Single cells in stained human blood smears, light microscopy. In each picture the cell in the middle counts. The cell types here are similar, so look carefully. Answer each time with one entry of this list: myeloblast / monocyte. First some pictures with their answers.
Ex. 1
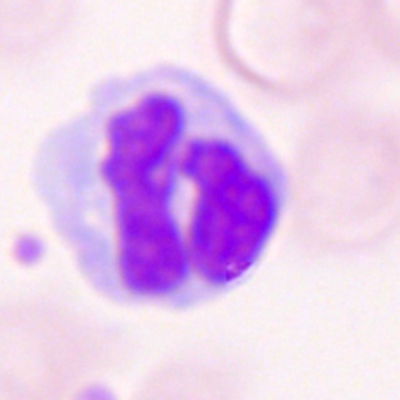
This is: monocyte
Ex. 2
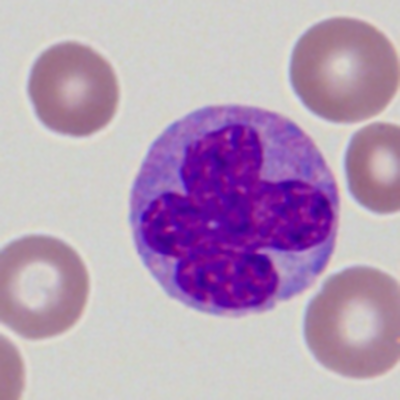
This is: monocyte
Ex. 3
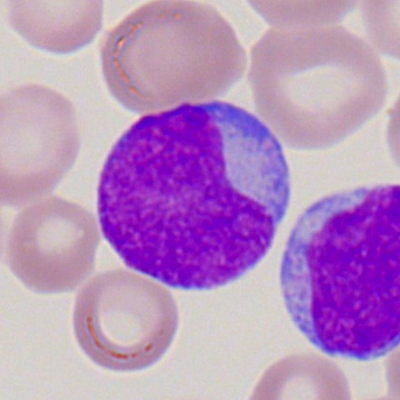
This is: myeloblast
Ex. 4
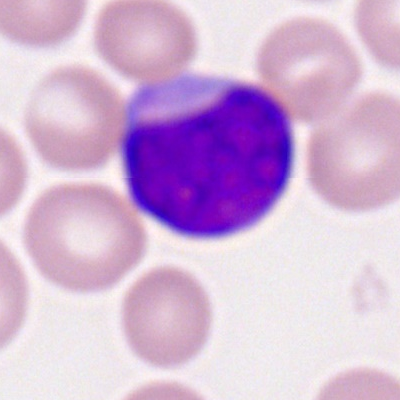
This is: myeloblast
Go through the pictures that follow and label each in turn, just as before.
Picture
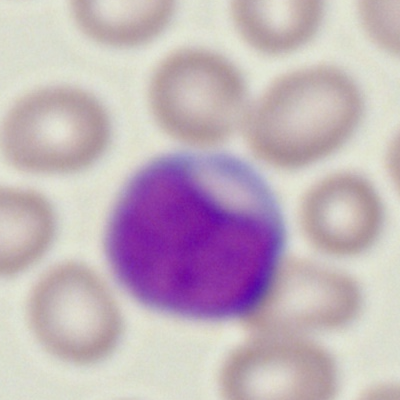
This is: myeloblast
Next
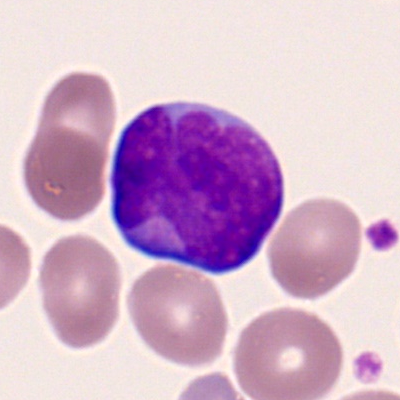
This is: myeloblast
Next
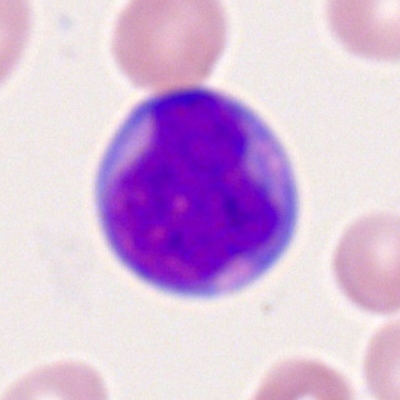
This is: myeloblast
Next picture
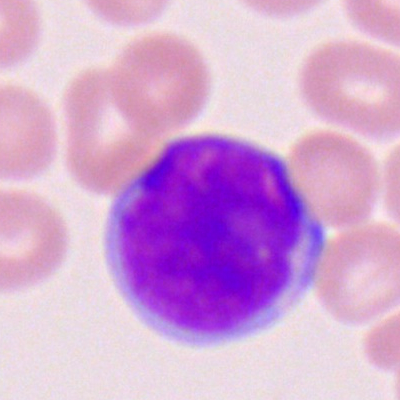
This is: myeloblast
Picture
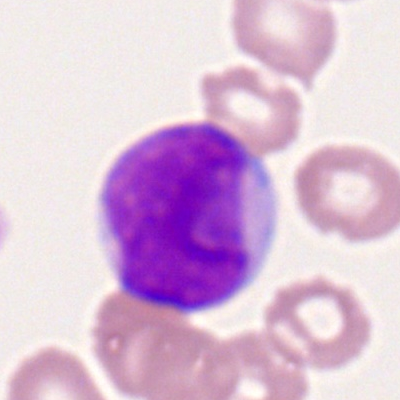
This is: myeloblast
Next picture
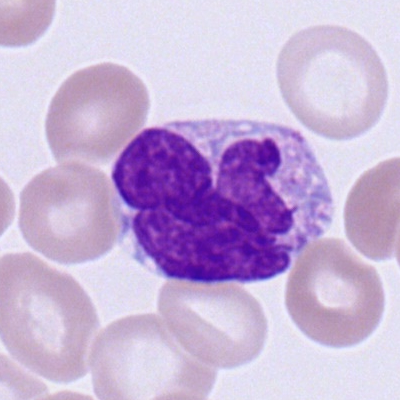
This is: monocyte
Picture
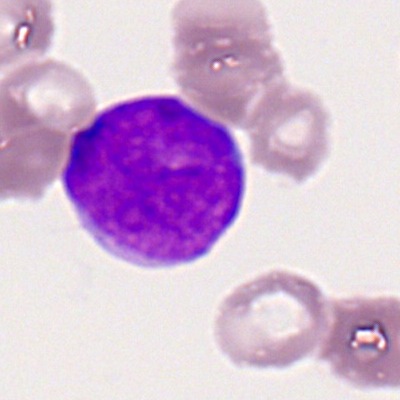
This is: myeloblast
